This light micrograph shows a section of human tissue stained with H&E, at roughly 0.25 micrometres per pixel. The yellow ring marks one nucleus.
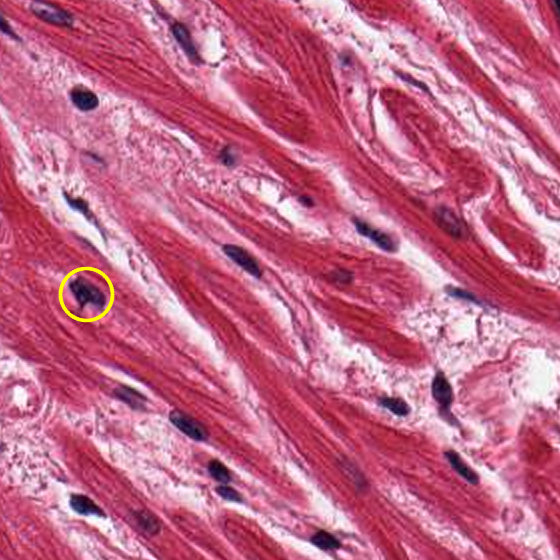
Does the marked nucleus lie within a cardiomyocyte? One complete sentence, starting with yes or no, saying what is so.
Yes, the marked nucleus is housed in a cardiomyocyte.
